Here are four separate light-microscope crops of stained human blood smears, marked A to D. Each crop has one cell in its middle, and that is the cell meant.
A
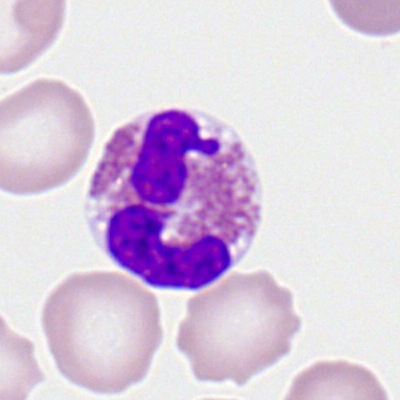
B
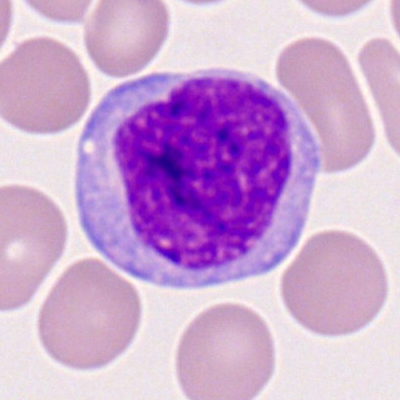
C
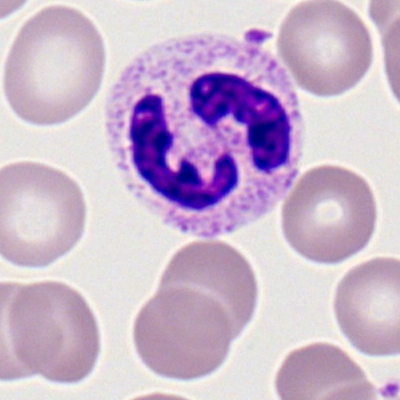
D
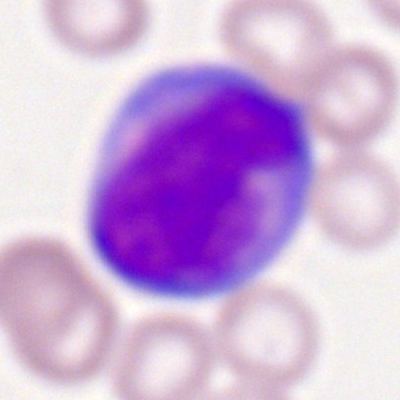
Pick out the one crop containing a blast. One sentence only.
Crop D is identified as the crop showing a blast.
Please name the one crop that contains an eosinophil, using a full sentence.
Crop A represents an eosinophil, while the other crops do not.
